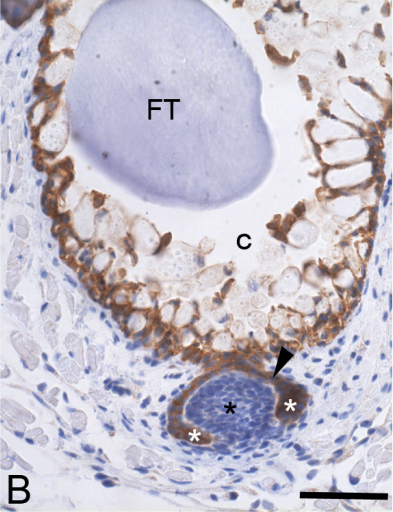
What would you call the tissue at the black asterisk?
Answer: Dental papilla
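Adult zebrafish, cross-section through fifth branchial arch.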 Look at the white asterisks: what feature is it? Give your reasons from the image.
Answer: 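The white asterisks sit on the two free rims of the brown epithelial cap. The rims curve around the sides of the dense cell cluster. The answer: cervical loops.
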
